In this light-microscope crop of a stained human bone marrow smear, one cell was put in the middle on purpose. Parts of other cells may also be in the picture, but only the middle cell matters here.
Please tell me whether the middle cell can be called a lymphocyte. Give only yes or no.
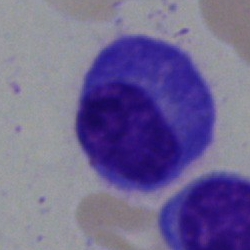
no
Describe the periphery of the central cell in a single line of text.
Smooth all around, the outline has no projections to report.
